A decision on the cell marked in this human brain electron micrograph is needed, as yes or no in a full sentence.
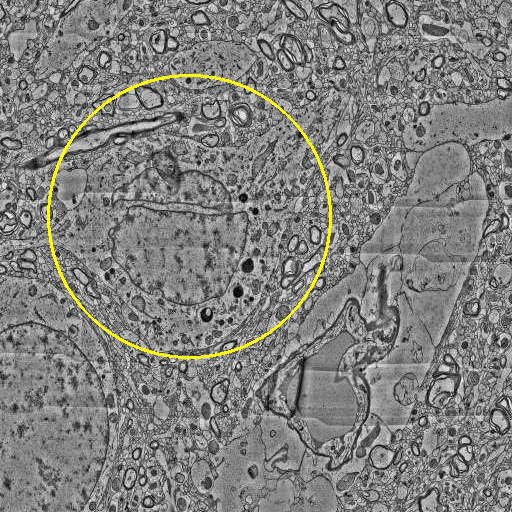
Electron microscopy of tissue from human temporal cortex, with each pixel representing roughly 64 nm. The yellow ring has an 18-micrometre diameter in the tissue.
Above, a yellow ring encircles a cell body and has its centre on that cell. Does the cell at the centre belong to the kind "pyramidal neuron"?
Yes, the kind given fits the cell at the centre of the ring in the picture.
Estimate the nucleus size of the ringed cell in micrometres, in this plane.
Roughly 9 micrometers across, in this plane.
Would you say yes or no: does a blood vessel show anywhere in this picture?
Yes.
